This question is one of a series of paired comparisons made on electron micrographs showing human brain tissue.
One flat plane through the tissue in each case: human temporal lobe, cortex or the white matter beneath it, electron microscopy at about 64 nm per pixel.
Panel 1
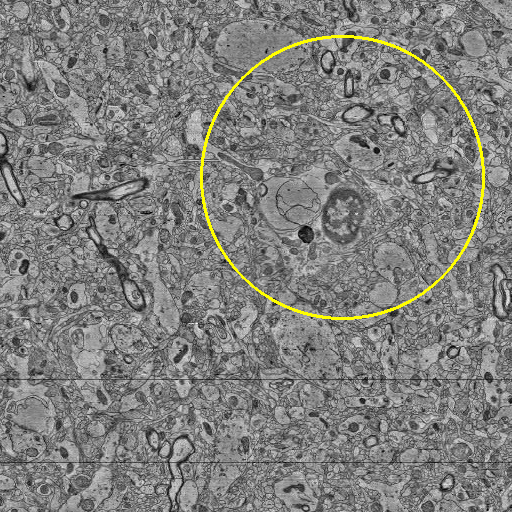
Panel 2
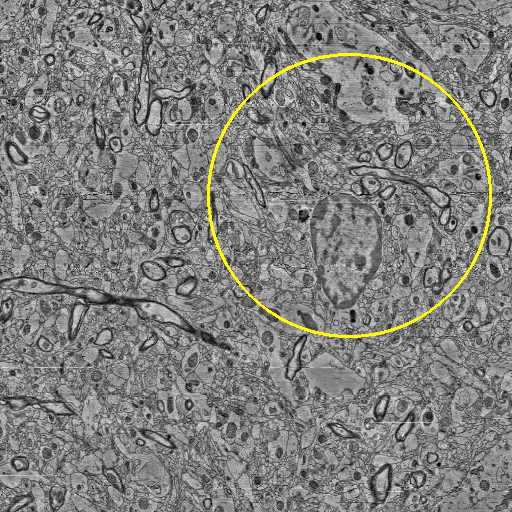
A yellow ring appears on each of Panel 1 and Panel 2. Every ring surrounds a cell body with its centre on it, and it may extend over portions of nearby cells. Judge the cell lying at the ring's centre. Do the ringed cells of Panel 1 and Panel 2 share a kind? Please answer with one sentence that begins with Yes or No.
Yes, the ring-centre cell in Panel 1 and the one in Panel 2 are of one kind.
